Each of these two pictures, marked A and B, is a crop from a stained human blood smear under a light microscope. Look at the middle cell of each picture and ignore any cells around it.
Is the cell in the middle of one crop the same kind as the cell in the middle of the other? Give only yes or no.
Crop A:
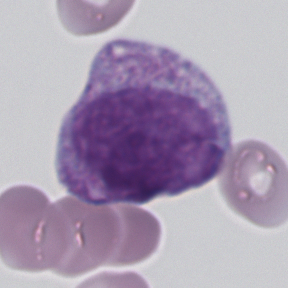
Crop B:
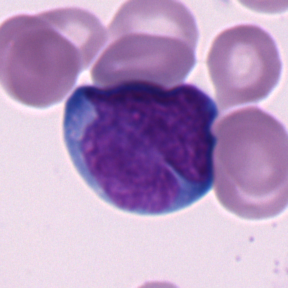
no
